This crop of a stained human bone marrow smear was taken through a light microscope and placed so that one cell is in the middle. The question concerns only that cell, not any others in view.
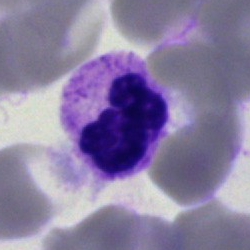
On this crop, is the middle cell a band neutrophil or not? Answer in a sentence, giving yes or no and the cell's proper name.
No, the cell under consideration is a segmented neutrophil instead of a band neutrophil.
